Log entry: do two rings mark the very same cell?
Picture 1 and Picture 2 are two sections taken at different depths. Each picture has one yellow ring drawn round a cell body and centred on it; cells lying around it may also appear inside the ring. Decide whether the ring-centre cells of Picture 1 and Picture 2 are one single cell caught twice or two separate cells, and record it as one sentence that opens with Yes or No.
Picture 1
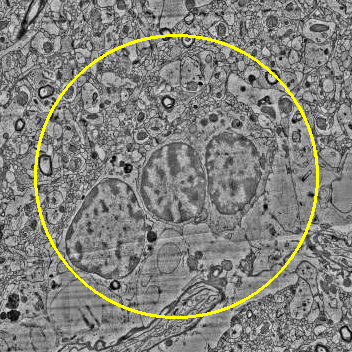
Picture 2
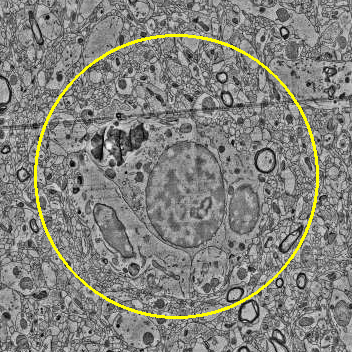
No, the two rings were placed on two different cells.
